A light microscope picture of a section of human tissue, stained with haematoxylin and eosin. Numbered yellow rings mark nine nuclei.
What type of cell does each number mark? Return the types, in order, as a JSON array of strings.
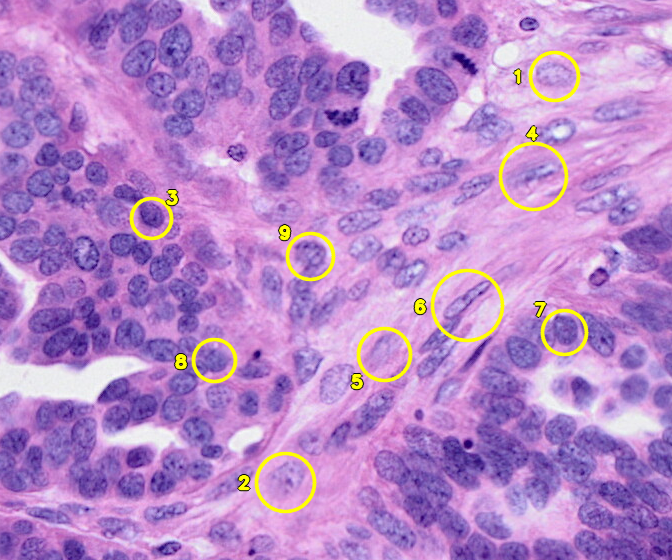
["fibroblast", "fibroblast", "carcinoma cell", "fibroblast", "fibroblast", "fibroblast", "carcinoma cell", "carcinoma cell", "macrophage or monocyte"]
